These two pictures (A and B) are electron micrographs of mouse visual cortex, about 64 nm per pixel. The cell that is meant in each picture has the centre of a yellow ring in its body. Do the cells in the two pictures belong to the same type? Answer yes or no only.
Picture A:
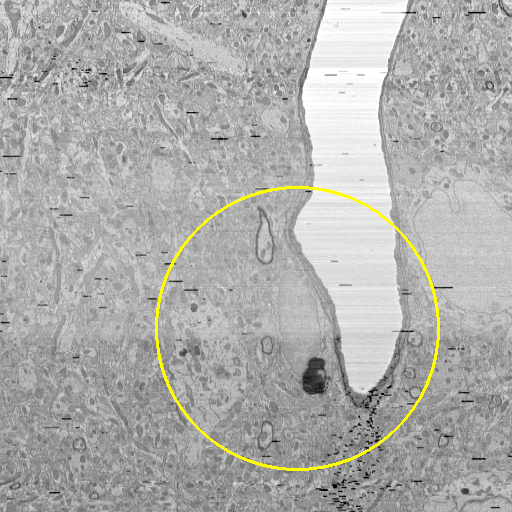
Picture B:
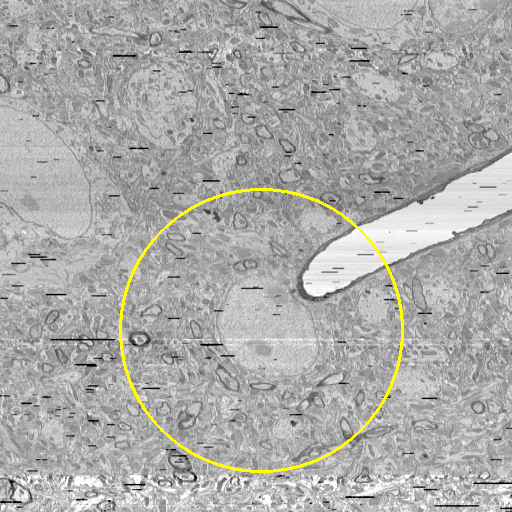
no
